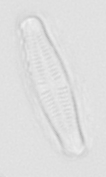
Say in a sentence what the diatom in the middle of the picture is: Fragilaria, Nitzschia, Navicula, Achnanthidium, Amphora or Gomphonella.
This is Achnanthidium.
